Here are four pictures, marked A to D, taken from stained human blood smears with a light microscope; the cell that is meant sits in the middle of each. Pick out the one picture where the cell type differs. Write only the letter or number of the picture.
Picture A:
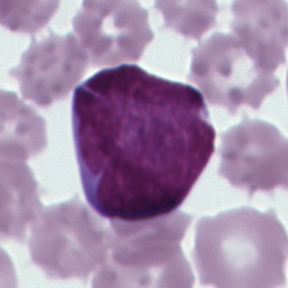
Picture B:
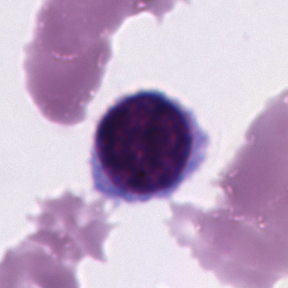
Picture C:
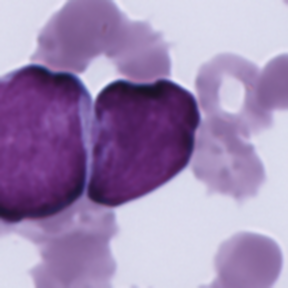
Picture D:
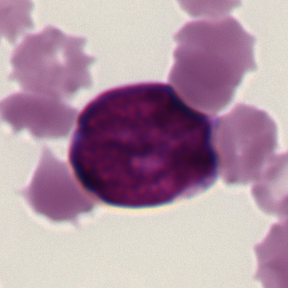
B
